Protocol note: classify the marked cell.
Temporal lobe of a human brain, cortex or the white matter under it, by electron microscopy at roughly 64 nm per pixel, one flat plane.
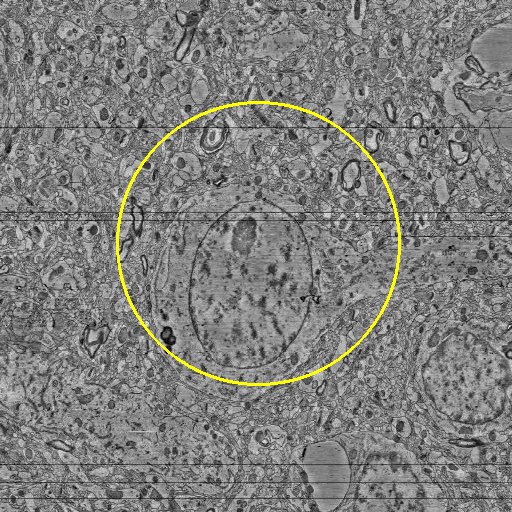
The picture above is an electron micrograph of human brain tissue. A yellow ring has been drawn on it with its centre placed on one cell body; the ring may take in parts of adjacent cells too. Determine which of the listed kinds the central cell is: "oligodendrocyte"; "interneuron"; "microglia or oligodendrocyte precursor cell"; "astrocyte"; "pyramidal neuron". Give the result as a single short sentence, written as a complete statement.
The central cell is a pyramidal neuron.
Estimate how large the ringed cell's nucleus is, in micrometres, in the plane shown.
The nucleus of the ringed cell is approximately 11 by 8 micrometres in this plane.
